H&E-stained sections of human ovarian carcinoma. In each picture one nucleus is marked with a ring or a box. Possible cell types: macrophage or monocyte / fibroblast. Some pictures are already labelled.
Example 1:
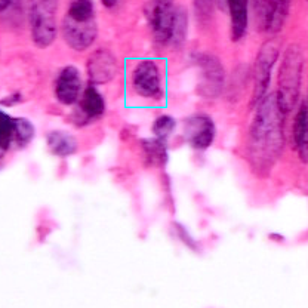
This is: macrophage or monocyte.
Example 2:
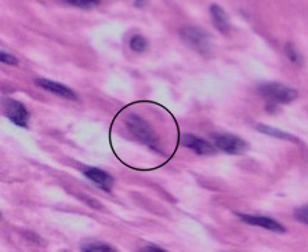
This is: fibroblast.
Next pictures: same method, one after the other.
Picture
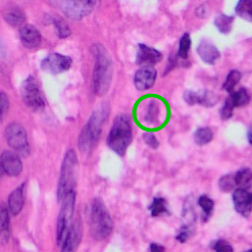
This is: macrophage or monocyte.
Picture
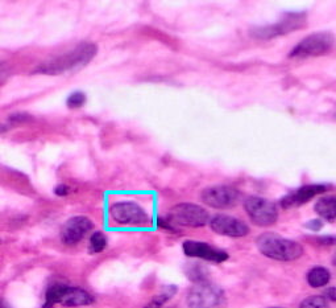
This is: macrophage or monocyte.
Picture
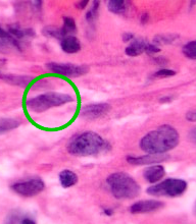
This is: fibroblast.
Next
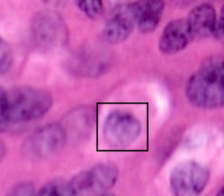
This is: macrophage or monocyte.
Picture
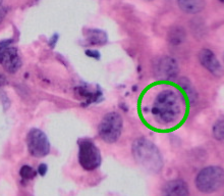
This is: macrophage or monocyte.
